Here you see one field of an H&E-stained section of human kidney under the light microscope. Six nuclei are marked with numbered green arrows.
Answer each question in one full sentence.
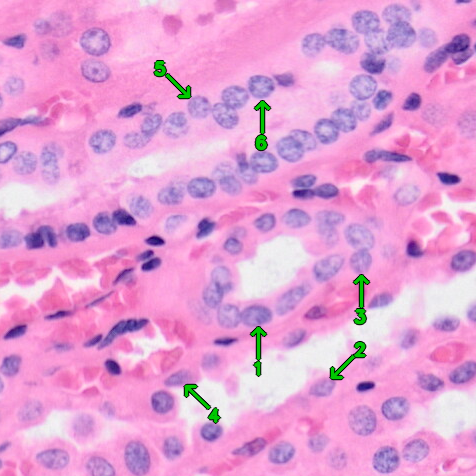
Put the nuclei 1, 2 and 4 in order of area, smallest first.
The order from the smallest nucleus to the largest is 4, 2, 1.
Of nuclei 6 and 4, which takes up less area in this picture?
Nucleus 4 covers less area, with nucleus 6 about 2 times as large.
